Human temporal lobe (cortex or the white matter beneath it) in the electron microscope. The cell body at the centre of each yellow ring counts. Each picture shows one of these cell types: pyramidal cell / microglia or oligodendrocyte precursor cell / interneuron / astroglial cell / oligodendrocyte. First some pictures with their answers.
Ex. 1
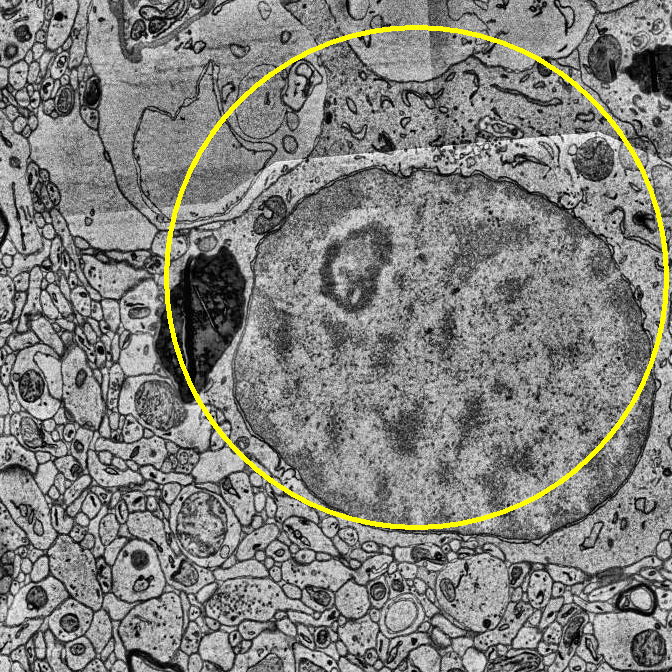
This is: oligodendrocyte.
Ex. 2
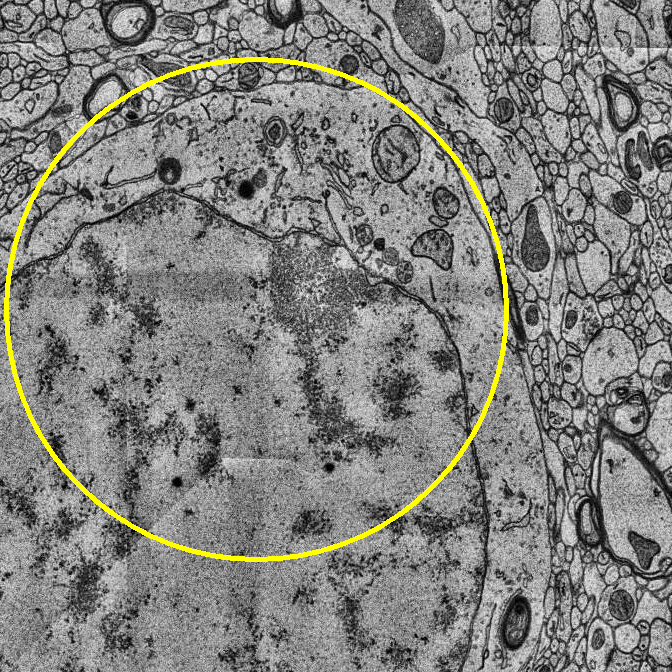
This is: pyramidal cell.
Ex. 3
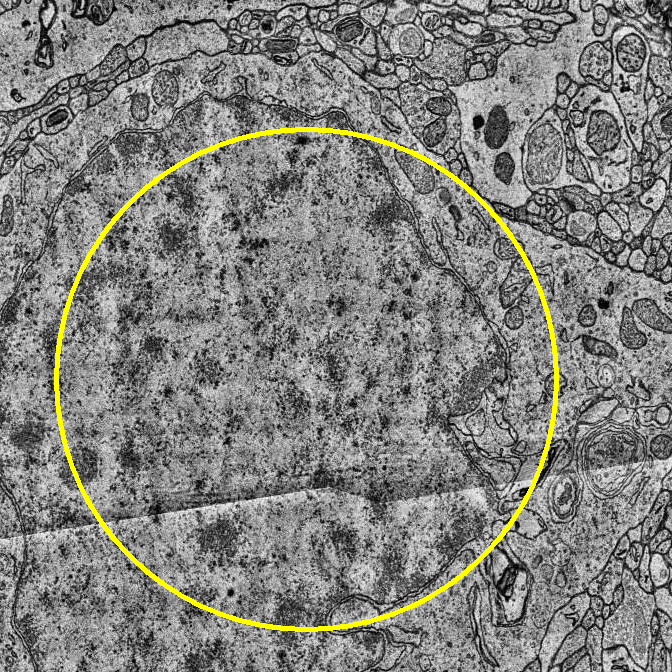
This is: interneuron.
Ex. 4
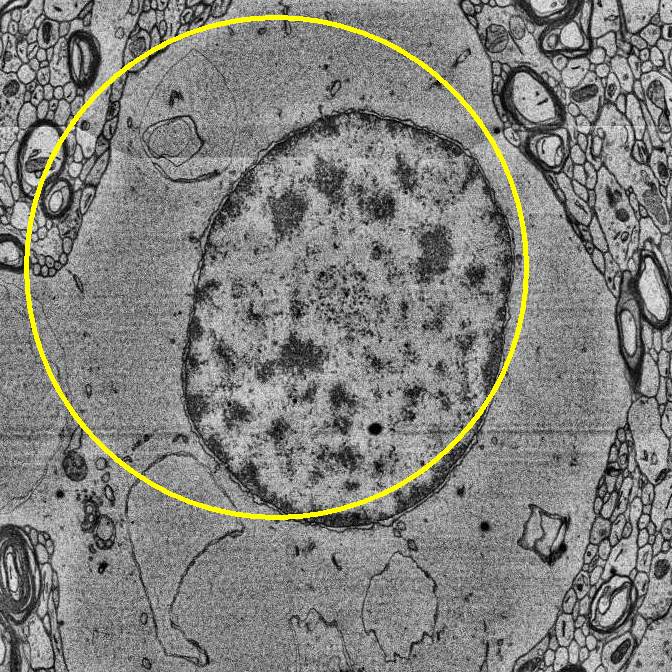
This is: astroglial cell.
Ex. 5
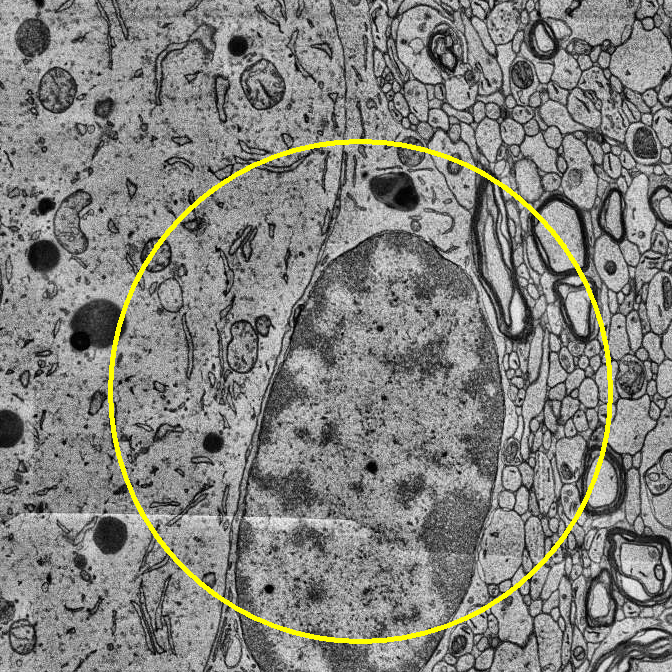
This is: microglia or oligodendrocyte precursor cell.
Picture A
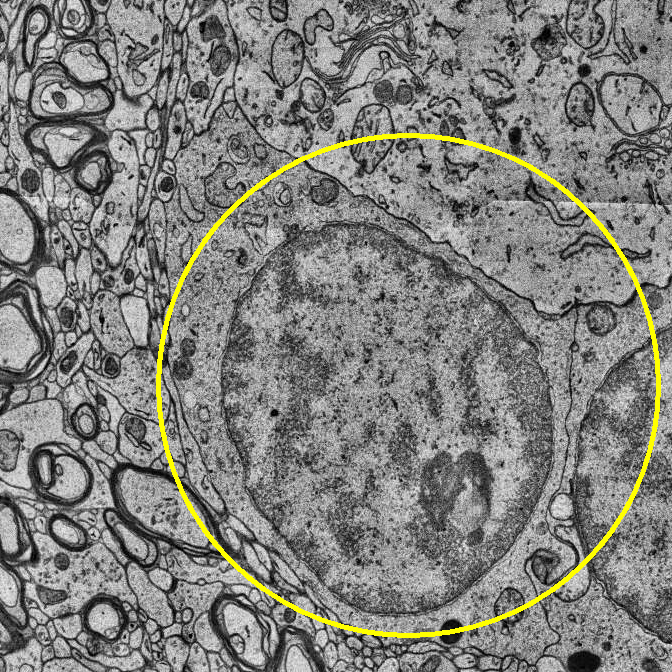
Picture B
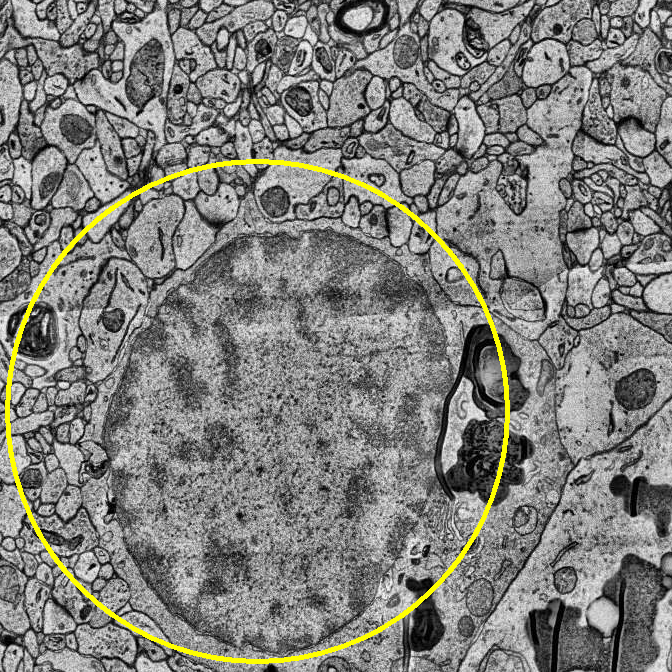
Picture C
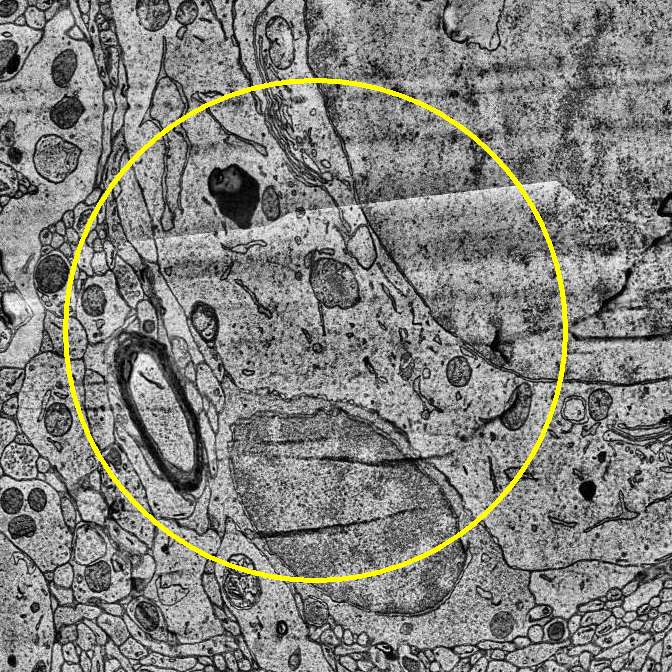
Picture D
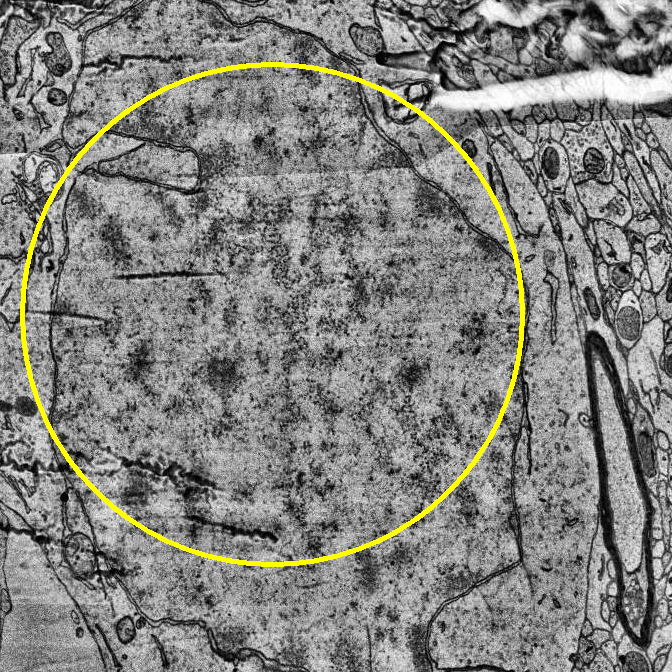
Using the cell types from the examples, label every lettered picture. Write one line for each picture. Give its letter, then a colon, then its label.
A: oligodendrocyte.
B: oligodendrocyte.
C: oligodendrocyte.
D: interneuron.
